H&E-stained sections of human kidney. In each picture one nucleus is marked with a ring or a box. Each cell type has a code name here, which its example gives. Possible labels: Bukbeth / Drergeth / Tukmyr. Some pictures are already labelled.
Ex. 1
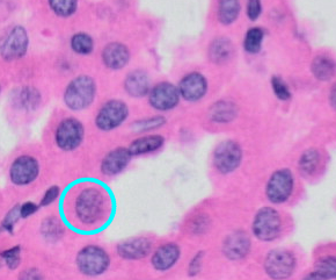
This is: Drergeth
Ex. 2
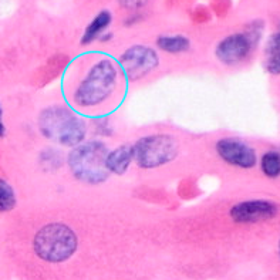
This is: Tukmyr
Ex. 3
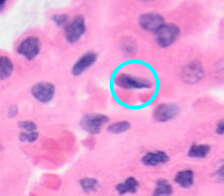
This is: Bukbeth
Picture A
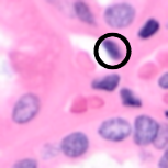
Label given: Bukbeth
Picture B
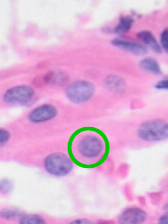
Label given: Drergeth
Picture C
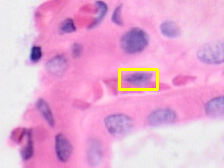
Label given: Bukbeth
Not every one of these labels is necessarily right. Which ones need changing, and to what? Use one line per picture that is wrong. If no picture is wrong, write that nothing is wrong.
No label is wrong.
